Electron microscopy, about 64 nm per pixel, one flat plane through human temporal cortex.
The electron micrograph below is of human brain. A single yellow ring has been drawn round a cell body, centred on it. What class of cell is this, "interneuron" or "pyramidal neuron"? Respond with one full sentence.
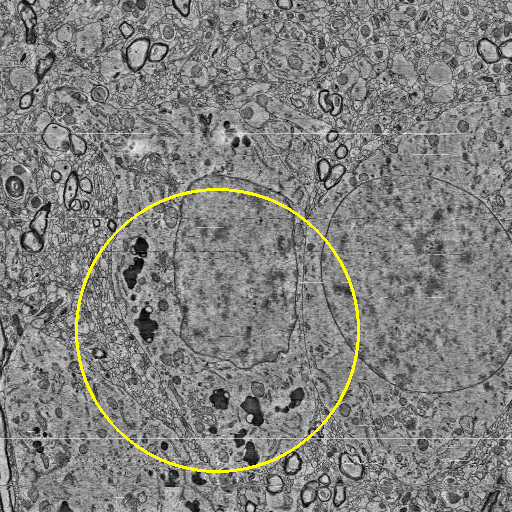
In the micrograph, the cell centred inside the yellow ring is an interneuron.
